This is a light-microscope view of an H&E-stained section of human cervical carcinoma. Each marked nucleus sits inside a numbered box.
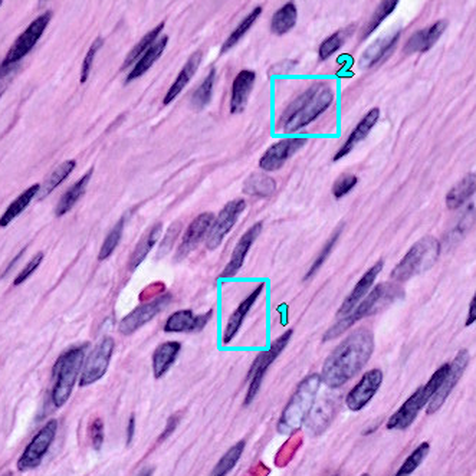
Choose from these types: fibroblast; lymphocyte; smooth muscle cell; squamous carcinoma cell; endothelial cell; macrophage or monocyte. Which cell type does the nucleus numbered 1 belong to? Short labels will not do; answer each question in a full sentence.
The one numbered 1 among the marked cells is a fibroblast.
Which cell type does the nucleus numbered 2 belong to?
The cell referenced by the number 2 is an endothelial cell in this field.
